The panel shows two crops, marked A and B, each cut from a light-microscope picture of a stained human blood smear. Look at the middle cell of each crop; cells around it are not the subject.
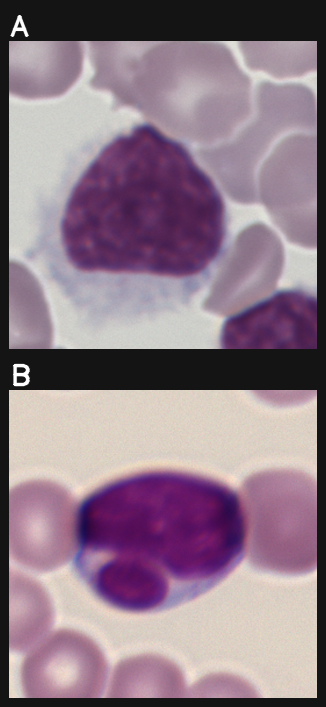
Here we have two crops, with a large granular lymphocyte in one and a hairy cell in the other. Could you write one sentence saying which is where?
Crop A contains a hairy cell, and crop B, a large granular lymphocyte.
